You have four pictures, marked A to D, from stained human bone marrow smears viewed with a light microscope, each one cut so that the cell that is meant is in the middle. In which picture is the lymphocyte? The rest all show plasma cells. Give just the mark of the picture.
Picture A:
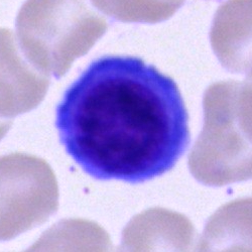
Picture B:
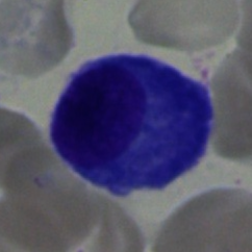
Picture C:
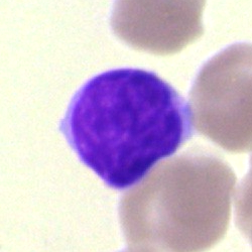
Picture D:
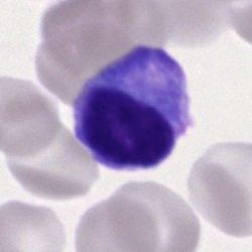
C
